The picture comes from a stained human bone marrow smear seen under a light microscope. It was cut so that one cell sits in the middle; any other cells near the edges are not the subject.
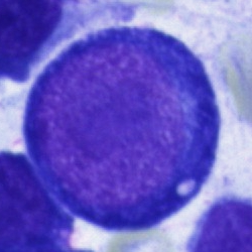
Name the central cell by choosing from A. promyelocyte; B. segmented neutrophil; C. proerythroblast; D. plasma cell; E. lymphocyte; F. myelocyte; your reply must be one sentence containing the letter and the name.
Option C is correct in that the central cell is a proerythroblast.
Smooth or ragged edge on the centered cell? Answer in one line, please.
Expected answer: a smooth cell outline without projections of any sort.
